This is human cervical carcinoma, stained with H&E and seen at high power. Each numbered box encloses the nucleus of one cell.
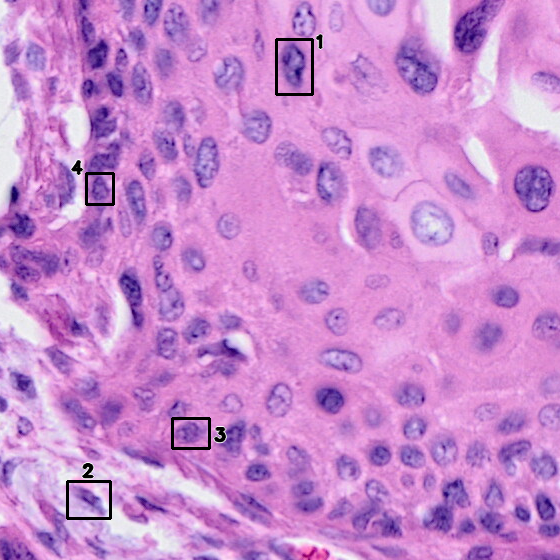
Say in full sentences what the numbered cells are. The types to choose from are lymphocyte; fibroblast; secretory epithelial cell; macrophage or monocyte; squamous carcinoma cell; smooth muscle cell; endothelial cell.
Cells 1, 3 and 4 are squamous carcinoma cells. Cell 2 is a fibroblast.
